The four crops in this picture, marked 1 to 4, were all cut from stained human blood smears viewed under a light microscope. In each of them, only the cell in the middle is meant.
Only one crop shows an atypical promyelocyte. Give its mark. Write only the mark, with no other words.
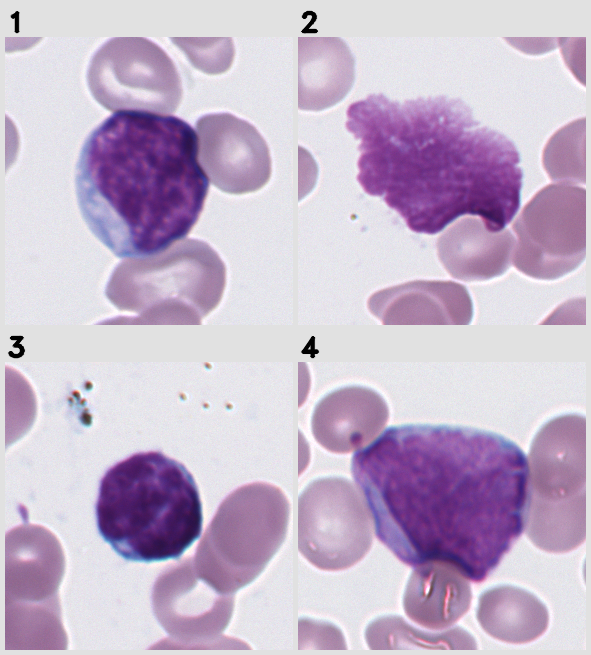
4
